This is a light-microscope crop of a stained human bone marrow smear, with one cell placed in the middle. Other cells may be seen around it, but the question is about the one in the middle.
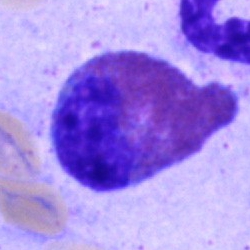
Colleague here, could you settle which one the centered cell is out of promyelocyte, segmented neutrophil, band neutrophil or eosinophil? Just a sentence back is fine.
The middle of this crop is occupied by an eosinophil.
